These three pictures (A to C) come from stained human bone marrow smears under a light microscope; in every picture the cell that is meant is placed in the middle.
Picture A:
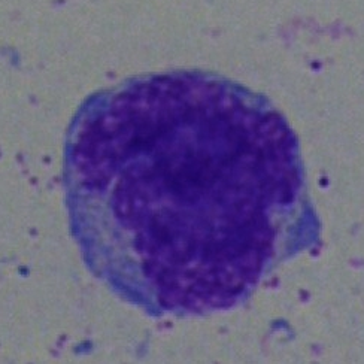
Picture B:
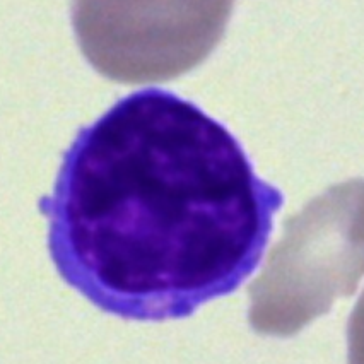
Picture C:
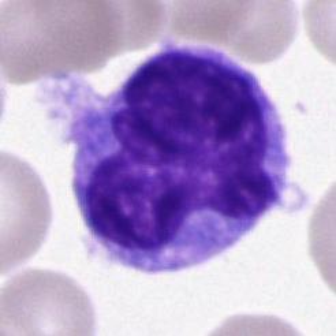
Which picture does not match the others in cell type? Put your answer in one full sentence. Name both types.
The others show monocytes, but picture B shows a lymphocyte.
